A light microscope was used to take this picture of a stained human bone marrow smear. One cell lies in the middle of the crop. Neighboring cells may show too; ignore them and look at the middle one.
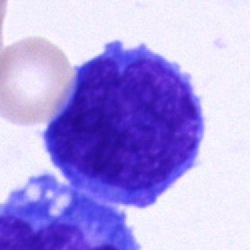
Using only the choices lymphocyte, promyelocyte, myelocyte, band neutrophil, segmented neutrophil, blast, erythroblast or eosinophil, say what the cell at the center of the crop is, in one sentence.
Occupying the centre of the crop is a blast.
